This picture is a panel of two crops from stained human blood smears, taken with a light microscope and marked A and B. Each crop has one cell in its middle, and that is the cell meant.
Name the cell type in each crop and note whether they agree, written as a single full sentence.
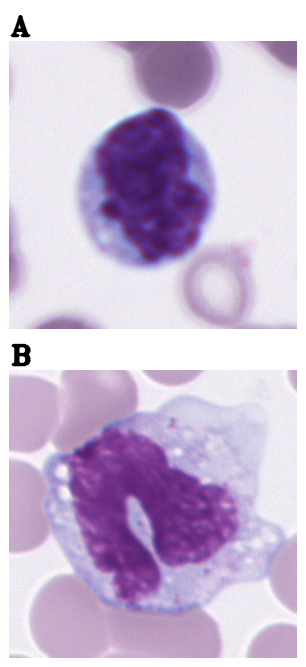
Yes, the cells of interest in both crops are monocytes.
